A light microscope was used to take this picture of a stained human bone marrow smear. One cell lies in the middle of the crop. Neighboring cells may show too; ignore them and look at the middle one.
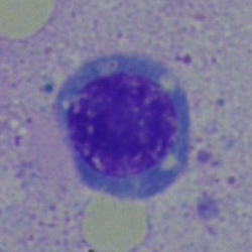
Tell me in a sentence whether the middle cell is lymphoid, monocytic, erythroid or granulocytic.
The middle cell is placed in the erythroid lineage.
